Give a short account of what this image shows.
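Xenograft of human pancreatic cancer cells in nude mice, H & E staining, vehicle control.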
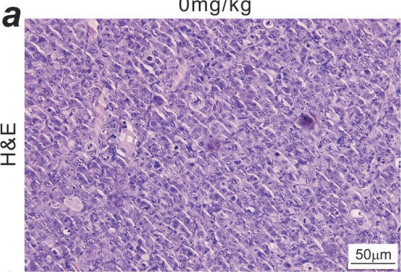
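Nuclei are large, hyperchromatic and vary in size and shape, with scant cytoplasm and indistinct cell borders. A few small pale vacuolated spaces and occasional large dark atypical nuclei lie among the cells.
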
